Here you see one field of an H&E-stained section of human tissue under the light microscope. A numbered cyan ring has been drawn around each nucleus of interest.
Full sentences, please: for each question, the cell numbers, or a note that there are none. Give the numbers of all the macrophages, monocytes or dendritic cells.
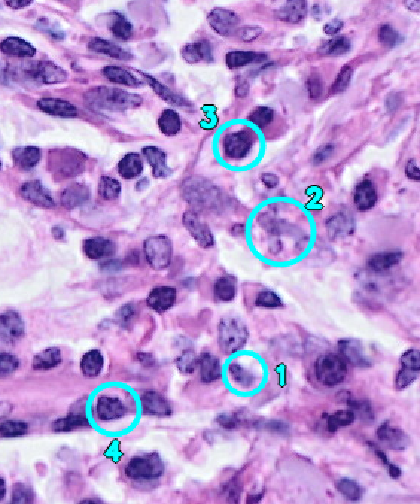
Cell 2 alone, of all the numbered cells, is a macrophage, monocyte or dendritic cell.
